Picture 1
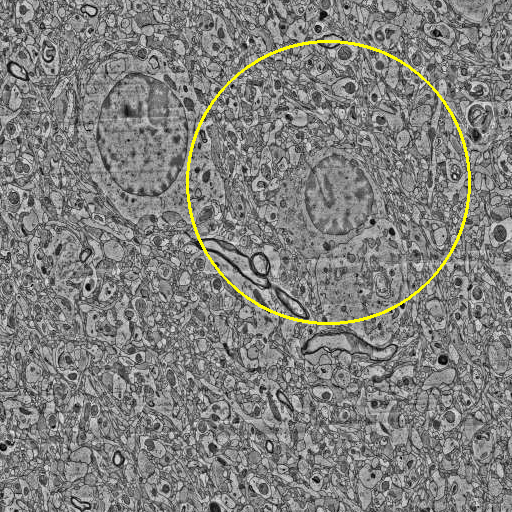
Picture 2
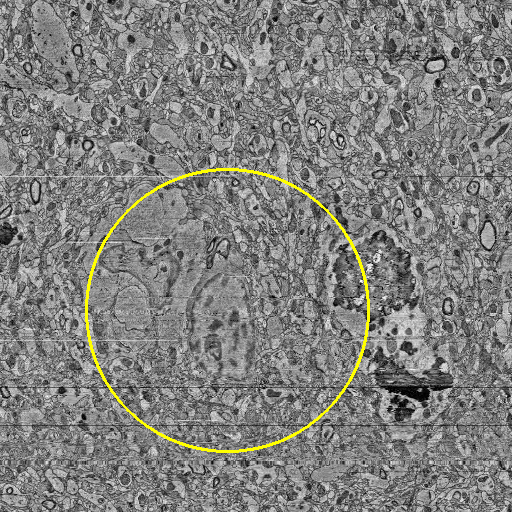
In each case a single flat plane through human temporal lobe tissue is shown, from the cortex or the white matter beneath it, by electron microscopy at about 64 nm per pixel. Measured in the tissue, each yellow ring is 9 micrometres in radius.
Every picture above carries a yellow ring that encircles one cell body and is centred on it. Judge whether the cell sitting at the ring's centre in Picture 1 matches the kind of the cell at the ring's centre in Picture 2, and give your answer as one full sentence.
Yes, the cells centred in the rings of Pictures 1 and 2 belong to one kind.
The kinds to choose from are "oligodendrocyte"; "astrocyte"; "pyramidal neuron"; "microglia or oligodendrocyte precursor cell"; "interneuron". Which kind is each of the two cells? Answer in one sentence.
Both rings mark an oligodendrocyte, one in each picture.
